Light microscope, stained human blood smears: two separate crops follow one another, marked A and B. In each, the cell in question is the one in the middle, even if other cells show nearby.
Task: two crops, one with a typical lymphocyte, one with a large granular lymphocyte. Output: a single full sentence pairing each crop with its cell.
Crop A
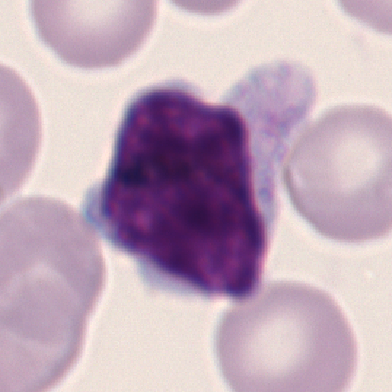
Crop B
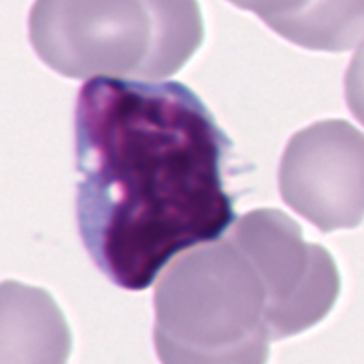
For crop A the cell is a large granular lymphocyte, and for crop B it is a typical lymphocyte.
